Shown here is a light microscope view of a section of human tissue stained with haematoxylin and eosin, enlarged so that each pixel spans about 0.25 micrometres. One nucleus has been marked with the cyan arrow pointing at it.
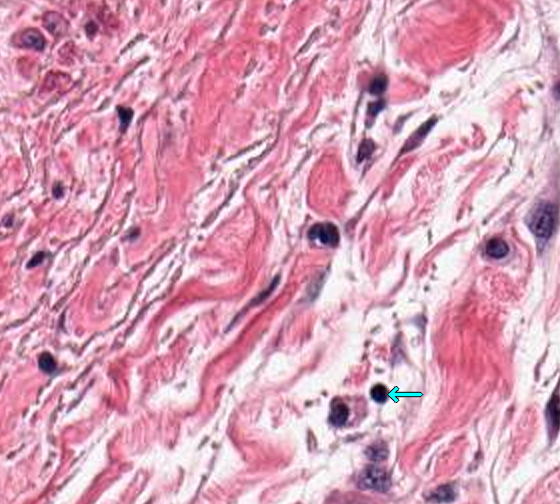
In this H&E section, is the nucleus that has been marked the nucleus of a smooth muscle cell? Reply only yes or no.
no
